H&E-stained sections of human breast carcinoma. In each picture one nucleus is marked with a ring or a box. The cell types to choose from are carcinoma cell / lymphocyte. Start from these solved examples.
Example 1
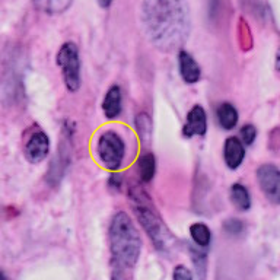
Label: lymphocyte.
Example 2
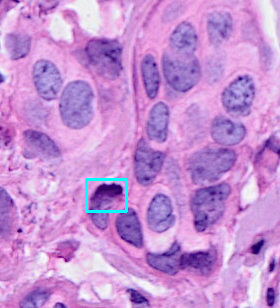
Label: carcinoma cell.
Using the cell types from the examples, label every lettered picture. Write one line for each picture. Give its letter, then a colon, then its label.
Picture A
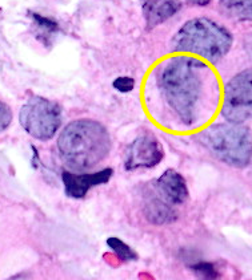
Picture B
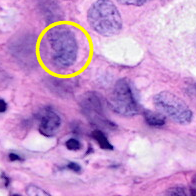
A: carcinoma cell.
B: carcinoma cell.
